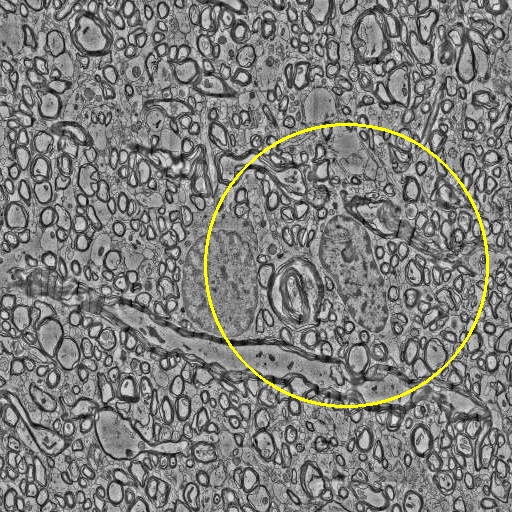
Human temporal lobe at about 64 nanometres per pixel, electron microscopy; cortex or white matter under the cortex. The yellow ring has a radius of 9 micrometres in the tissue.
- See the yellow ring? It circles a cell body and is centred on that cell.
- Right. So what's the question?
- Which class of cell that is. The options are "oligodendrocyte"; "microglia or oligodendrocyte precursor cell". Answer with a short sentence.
The centre of the ring holds a microglial cell or oligodendrocyte precursor cell.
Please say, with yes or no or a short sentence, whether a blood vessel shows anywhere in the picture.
No.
